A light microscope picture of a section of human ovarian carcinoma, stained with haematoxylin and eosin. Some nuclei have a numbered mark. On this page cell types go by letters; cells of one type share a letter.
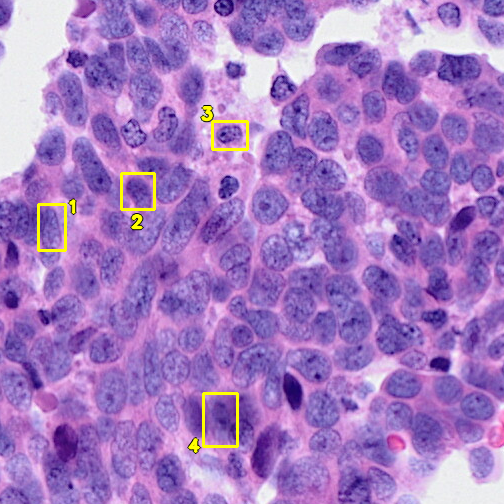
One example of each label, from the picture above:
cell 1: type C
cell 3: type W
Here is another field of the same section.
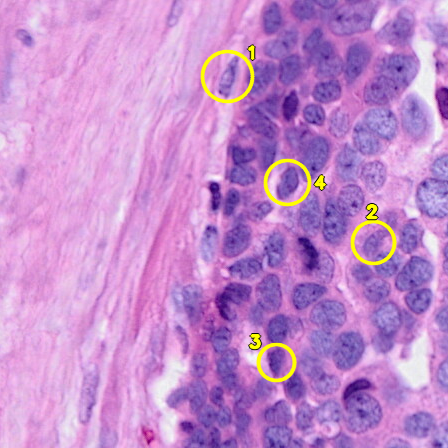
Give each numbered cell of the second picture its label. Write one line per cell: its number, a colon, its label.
1: type W
2: type C
3: type C
4: type C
